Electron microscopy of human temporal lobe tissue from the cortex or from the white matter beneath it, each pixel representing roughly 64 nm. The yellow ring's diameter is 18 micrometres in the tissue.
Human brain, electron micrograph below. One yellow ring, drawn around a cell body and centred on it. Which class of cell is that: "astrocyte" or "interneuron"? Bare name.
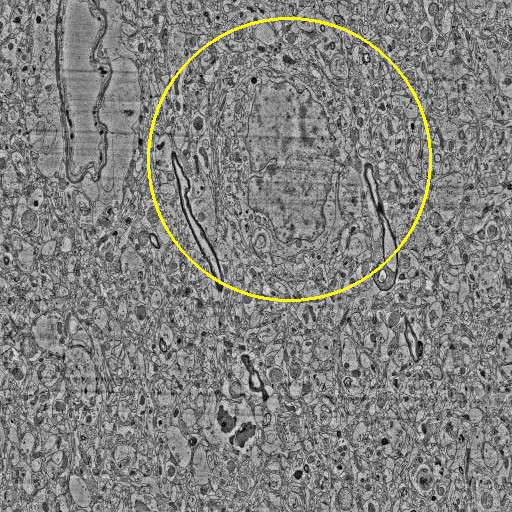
interneuron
